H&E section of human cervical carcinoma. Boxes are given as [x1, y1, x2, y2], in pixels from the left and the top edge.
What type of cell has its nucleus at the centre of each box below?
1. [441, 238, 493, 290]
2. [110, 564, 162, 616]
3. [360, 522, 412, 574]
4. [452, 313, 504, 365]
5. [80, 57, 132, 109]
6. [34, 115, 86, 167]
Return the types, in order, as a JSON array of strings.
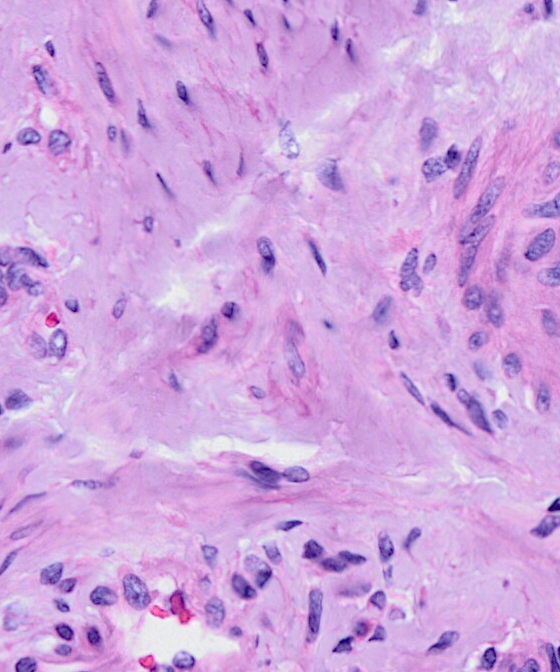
["smooth muscle cell", "endothelial cell", "fibroblast", "smooth muscle cell", "smooth muscle cell", "endothelial cell"]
